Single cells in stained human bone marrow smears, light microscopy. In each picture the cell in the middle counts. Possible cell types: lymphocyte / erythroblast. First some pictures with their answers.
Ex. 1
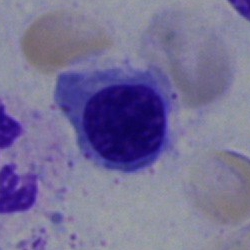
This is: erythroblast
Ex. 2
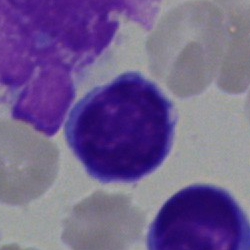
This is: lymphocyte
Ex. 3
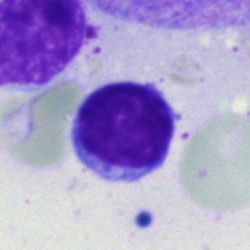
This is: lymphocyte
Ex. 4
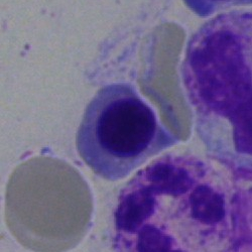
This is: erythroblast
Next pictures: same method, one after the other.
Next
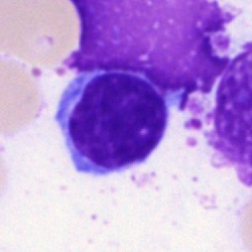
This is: lymphocyte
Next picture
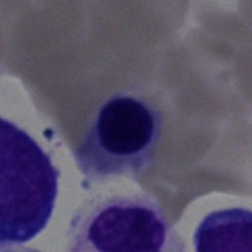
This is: erythroblast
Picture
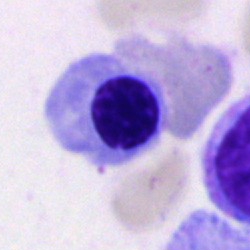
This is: erythroblast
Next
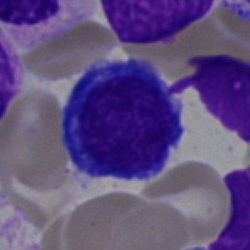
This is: erythroblast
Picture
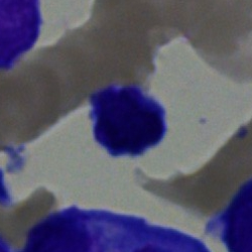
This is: lymphocyte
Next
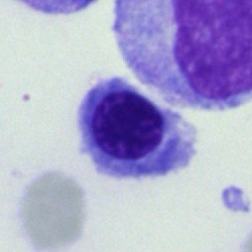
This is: erythroblast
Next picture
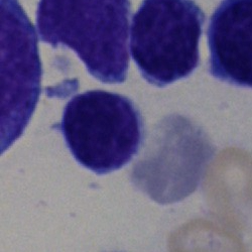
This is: lymphocyte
